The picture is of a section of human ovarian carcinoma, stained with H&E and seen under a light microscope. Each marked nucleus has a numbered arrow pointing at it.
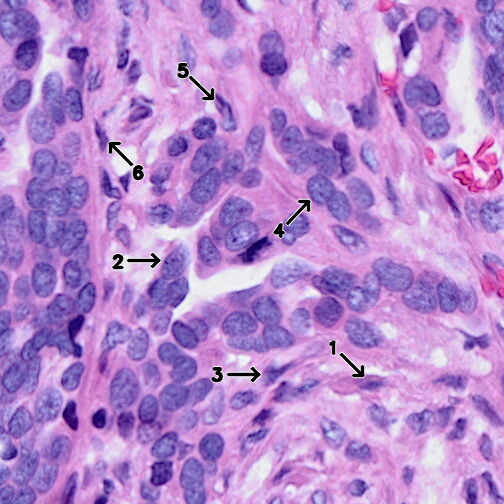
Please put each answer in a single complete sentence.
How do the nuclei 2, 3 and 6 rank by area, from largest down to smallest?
Going from the biggest nucleus down to the smallest gives 2, 3, 6.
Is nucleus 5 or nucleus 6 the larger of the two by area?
The larger nucleus is 5, at roughly 2 times the area of 6.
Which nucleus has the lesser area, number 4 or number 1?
Nucleus 1 covers less area, with nucleus 4 about 1.5 times as large.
